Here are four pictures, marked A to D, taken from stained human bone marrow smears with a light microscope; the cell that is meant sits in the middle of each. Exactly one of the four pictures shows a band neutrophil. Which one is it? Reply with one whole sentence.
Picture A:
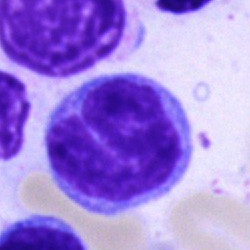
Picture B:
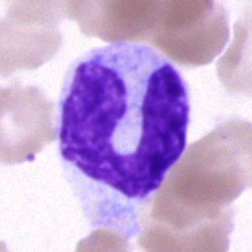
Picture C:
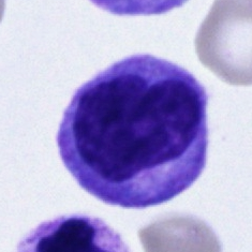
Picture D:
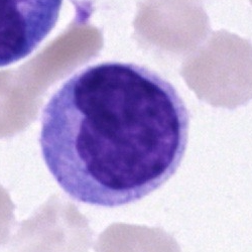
The band neutrophil is the one in picture B.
